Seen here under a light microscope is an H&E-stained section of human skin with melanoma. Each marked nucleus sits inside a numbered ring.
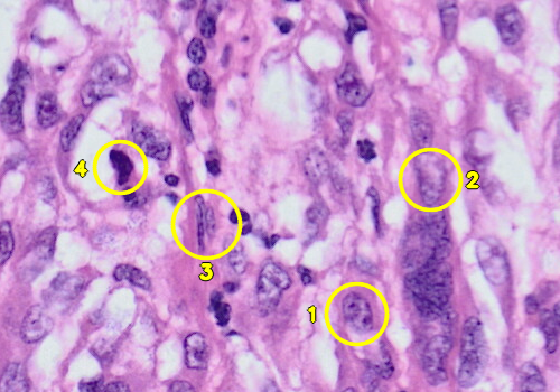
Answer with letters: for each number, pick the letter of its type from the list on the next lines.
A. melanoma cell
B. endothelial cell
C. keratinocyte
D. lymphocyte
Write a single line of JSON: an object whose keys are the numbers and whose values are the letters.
{"1": "A", "2": "A", "3": "B", "4": "A"}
